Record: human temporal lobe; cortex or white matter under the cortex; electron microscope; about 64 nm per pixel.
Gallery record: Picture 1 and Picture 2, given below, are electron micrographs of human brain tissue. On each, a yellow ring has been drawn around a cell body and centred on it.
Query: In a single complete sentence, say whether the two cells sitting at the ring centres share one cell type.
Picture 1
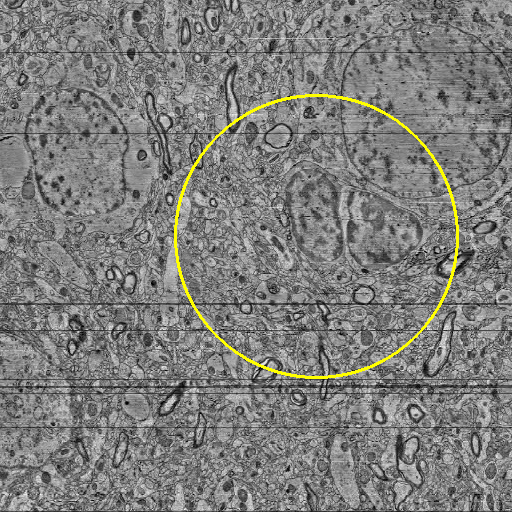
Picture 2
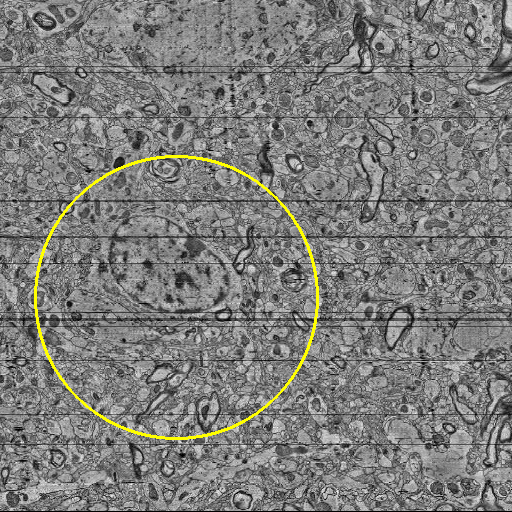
No, in the two pictures the cells at the rings' centres are of two separate types.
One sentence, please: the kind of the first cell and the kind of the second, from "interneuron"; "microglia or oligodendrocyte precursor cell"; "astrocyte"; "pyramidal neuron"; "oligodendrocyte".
The ring in the first picture surrounds an oligodendrocyte, and the ring in the second surrounds a microglial cell or oligodendrocyte precursor cell.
